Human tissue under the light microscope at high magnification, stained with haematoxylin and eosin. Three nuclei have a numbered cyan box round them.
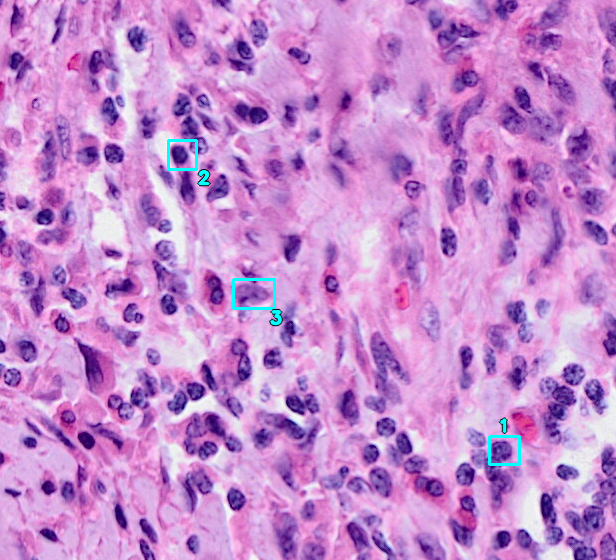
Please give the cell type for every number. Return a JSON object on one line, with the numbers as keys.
{"1": "lymphocyte", "2": "lymphocyte", "3": "macrophage or monocyte"}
